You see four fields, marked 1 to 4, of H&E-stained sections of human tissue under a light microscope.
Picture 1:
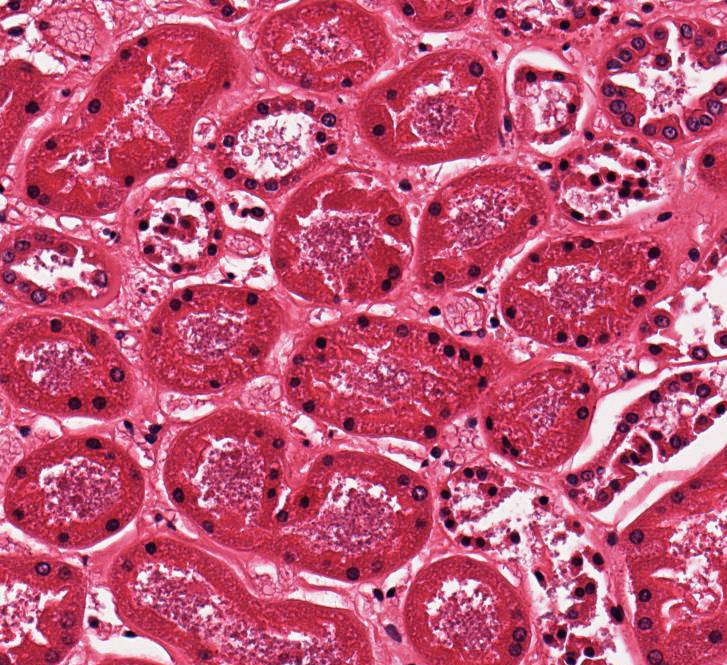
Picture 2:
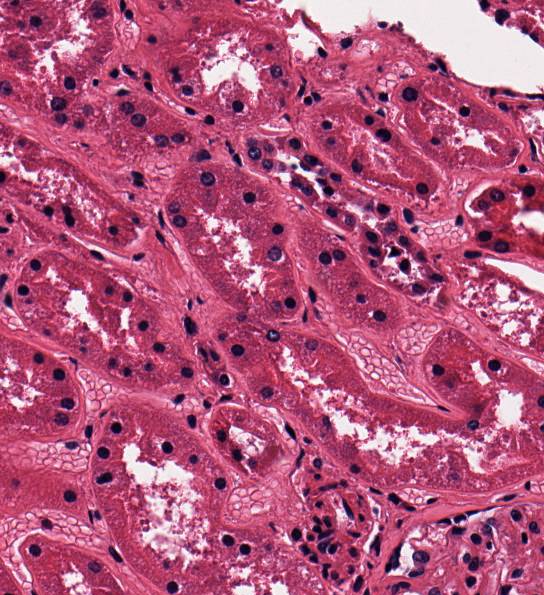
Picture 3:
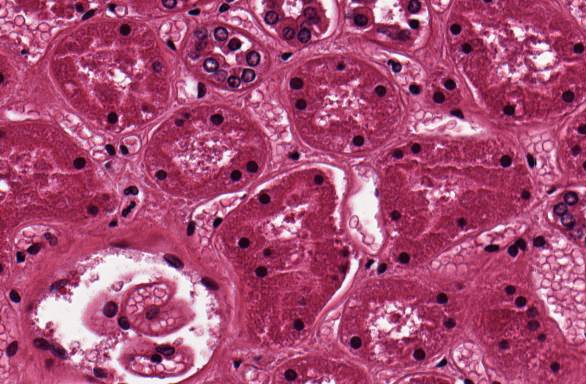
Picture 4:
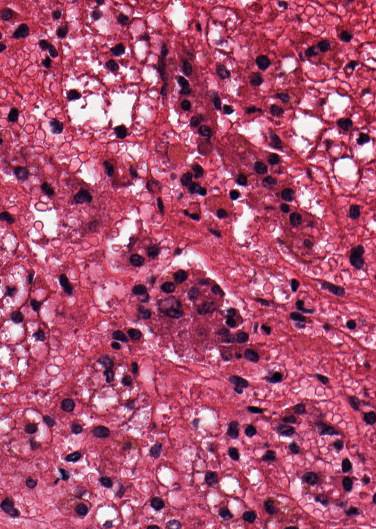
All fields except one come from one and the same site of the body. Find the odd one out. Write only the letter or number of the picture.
4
